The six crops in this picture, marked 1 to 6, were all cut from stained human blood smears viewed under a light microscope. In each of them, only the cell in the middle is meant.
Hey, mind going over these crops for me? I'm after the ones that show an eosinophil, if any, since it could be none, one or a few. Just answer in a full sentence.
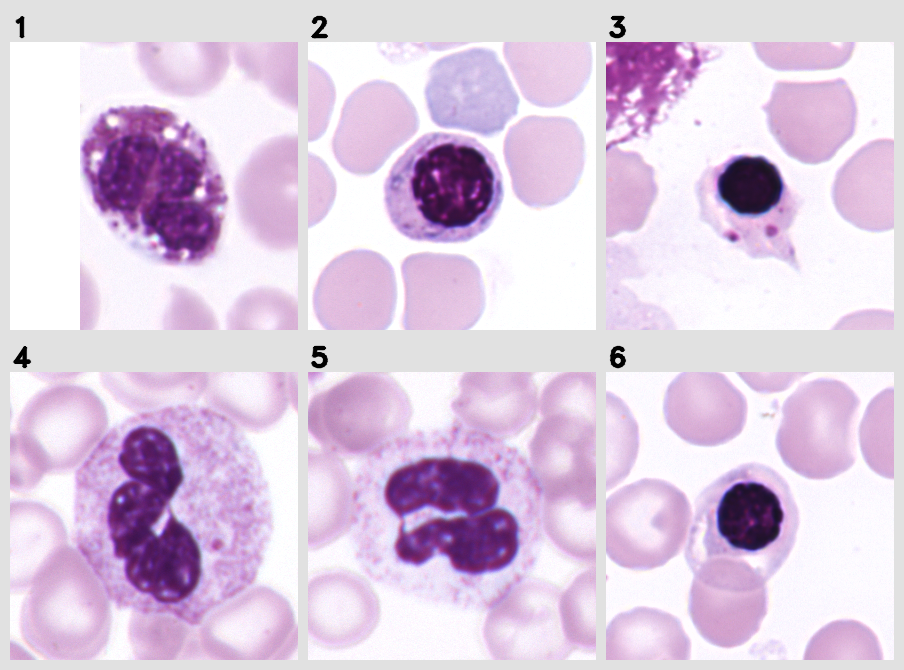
It is crop 1, and no other, that shows an eosinophil.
